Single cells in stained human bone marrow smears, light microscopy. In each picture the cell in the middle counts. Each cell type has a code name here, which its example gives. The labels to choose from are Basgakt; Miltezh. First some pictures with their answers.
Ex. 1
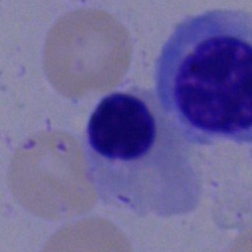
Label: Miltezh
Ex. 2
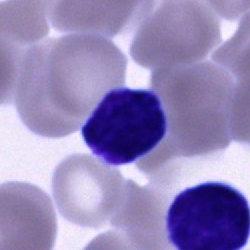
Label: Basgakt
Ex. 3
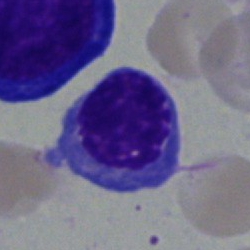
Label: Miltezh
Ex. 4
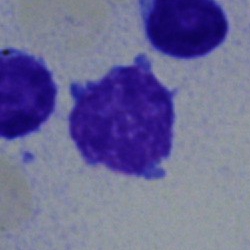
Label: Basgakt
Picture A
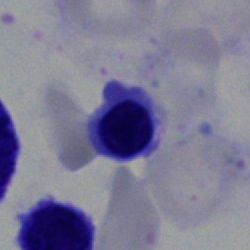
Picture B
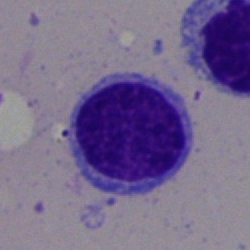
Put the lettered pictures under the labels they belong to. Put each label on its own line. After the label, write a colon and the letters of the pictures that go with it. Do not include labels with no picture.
Basgakt: B
Miltezh: A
